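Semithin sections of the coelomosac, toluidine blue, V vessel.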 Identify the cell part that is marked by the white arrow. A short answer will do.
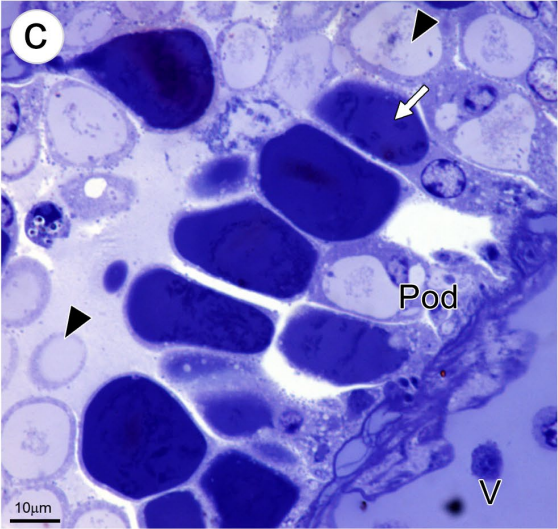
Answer: Vacuoles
